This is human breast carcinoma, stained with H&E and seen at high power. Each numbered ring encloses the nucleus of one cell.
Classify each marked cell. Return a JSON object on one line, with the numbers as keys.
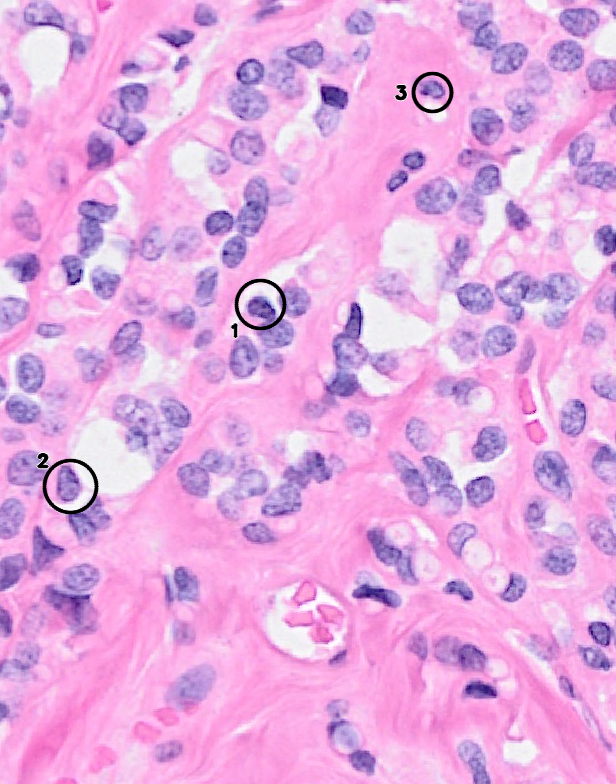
{"1": "carcinoma cell", "2": "carcinoma cell", "3": "endothelial cell"}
